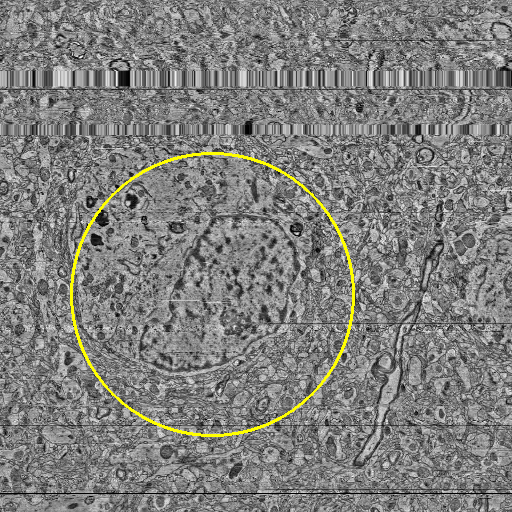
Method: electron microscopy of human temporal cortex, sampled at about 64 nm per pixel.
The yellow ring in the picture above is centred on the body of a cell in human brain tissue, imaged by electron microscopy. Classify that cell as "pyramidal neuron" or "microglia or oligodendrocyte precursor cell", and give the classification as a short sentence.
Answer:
The cell in the middle of the ring is a microglial cell or oligodendrocyte precursor cell.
